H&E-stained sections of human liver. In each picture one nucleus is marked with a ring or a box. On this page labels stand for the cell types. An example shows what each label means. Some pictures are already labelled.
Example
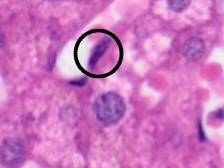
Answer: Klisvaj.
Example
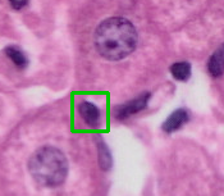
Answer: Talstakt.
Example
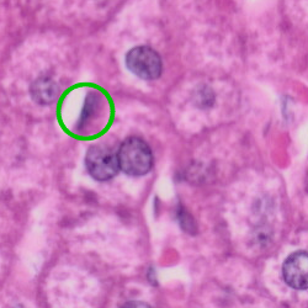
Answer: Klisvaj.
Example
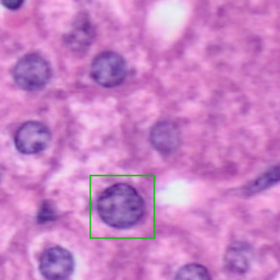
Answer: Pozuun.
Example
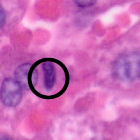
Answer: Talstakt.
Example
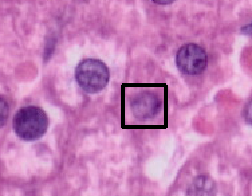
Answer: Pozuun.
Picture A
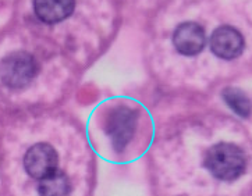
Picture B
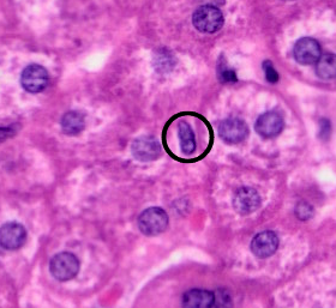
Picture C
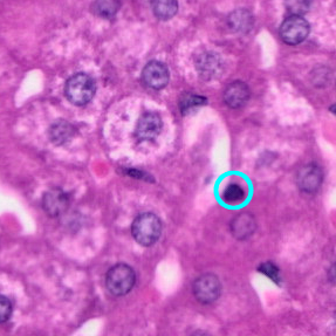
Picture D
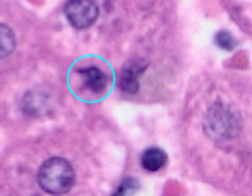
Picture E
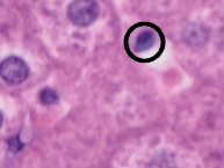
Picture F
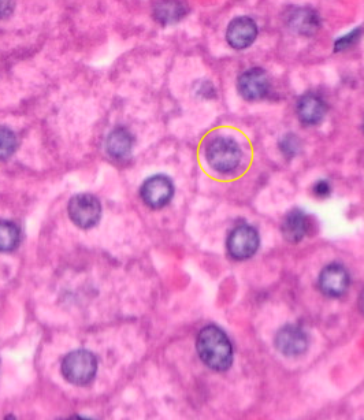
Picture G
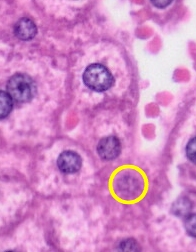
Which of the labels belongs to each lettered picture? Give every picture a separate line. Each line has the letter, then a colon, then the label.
A: Klisvaj.
B: Klisvaj.
C: Talstakt.
D: Talstakt.
E: Talstakt.
F: Pozuun.
G: Pozuun.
